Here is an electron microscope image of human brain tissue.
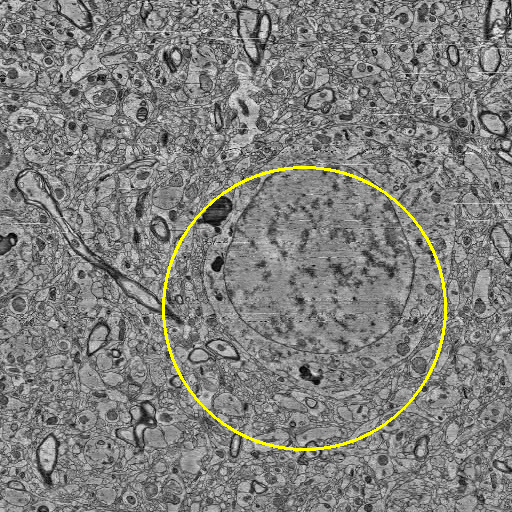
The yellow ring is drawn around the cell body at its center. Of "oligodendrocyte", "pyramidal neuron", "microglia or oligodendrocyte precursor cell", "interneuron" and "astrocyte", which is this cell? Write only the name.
pyramidal neuron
